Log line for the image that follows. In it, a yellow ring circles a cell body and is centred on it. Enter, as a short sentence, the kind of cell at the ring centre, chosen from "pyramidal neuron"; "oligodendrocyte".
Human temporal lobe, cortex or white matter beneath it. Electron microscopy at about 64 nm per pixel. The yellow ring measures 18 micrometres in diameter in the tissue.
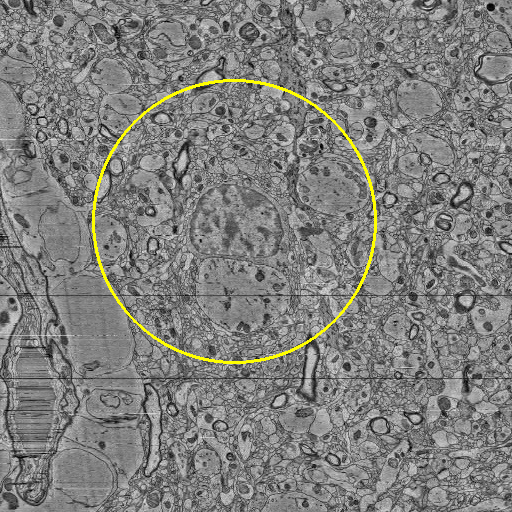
The ring centre is occupied by an oligodendrocyte.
